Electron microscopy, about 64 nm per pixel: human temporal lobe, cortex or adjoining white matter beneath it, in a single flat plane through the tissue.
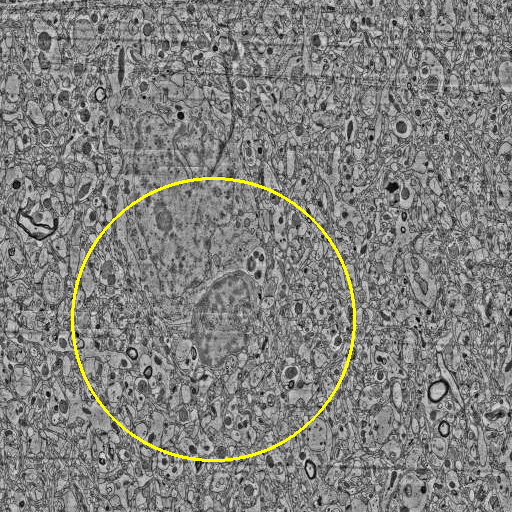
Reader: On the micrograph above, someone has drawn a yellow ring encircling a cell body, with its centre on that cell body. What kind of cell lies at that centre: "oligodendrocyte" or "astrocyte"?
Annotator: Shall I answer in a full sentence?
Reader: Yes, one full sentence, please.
Here an oligodendrocyte sits at the centre of the yellow ring drawn on the micrograph.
